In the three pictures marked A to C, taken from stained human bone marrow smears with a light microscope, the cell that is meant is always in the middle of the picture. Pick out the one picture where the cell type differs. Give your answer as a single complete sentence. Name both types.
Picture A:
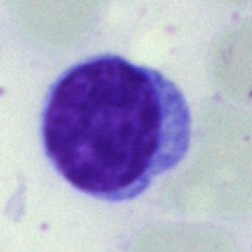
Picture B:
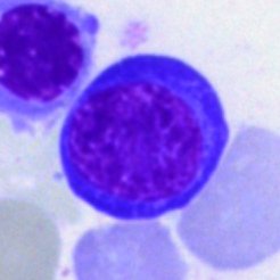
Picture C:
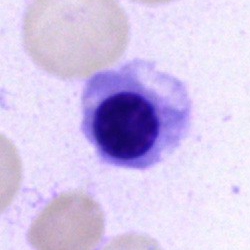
Picture A is the odd one out: it shows a lymphocyte, while the others show erythroblasts.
